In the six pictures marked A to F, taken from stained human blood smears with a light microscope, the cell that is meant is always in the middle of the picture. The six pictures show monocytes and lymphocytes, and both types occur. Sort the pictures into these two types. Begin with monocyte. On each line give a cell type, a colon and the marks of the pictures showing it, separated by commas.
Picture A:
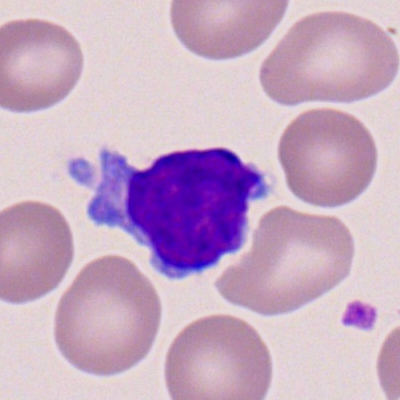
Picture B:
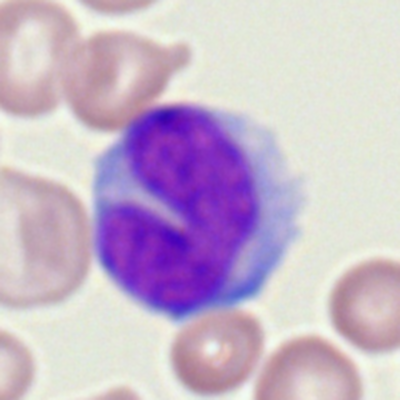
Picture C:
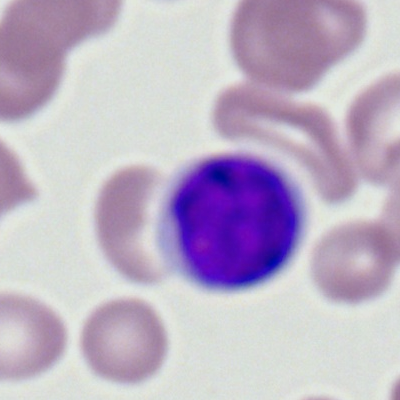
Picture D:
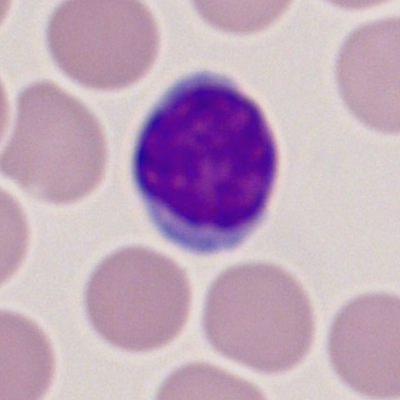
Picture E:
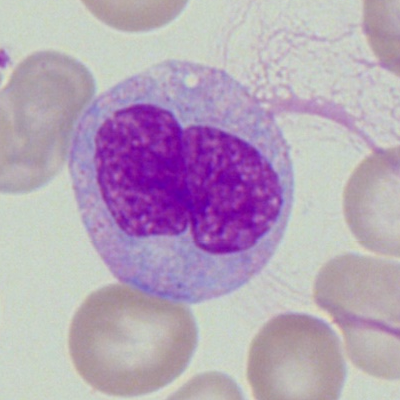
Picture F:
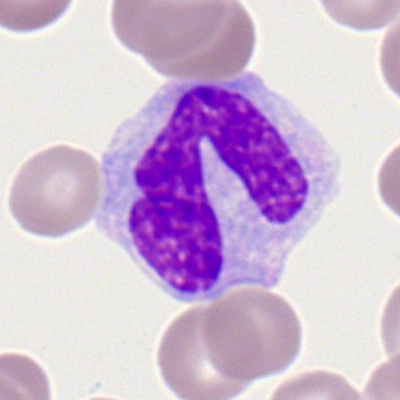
monocyte: B, E, F
lymphocyte: A, C, D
